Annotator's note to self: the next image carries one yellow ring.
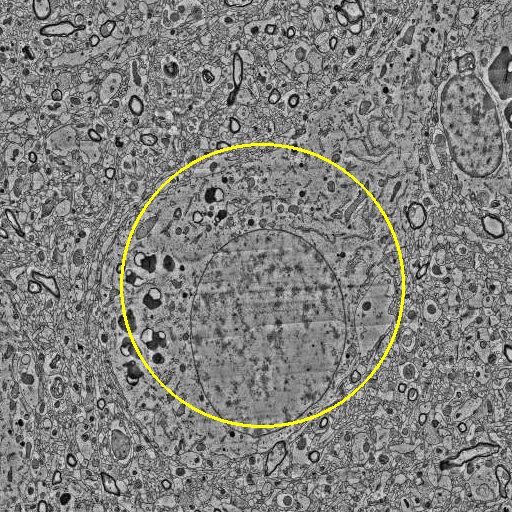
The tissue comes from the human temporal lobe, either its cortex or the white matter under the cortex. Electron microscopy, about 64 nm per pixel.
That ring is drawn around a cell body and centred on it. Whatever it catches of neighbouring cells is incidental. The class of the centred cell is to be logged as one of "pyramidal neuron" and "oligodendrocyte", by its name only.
pyramidal neuron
